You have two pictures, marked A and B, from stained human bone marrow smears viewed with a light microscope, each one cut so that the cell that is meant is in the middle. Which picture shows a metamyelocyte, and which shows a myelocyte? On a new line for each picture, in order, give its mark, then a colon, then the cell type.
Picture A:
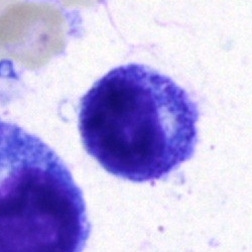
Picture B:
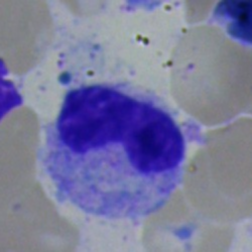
A: myelocyte
B: metamyelocyte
